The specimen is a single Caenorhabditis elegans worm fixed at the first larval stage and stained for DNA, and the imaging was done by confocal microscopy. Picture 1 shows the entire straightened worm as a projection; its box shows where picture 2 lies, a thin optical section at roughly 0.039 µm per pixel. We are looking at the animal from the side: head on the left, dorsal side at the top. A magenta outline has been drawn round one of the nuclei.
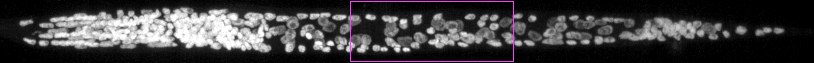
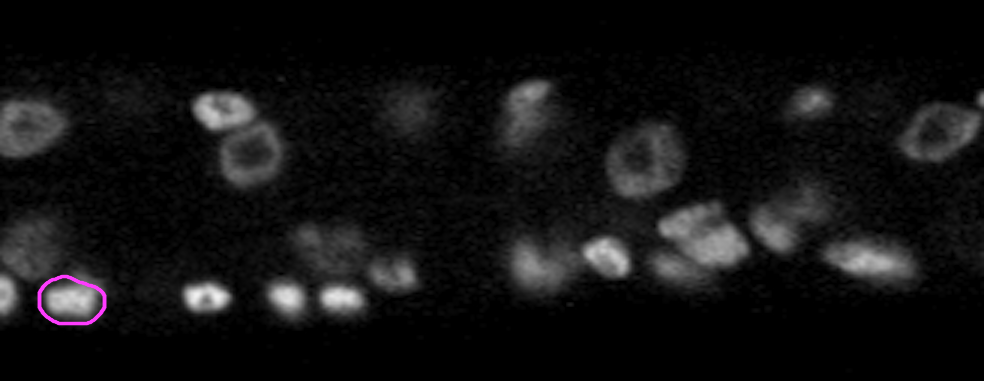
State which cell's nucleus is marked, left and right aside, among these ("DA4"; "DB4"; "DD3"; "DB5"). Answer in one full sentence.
The marked nucleus is that of DB4, a neuron.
